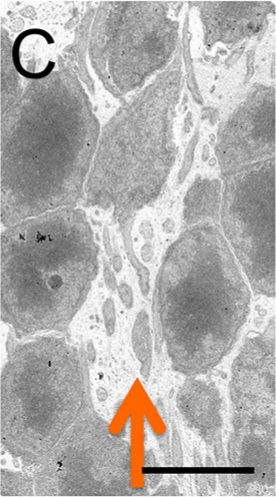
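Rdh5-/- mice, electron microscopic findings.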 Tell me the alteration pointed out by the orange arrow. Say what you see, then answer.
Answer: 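Pale spaces with thin processes lie between large nuclei. The arrow points into a pale gap between nuclei. So: wide interspaces between nuclei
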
